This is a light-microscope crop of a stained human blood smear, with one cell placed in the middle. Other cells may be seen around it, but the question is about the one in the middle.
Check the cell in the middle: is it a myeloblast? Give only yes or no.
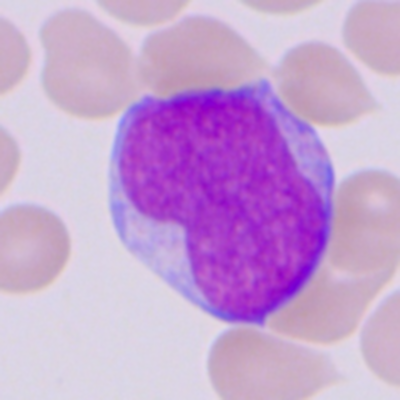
yes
